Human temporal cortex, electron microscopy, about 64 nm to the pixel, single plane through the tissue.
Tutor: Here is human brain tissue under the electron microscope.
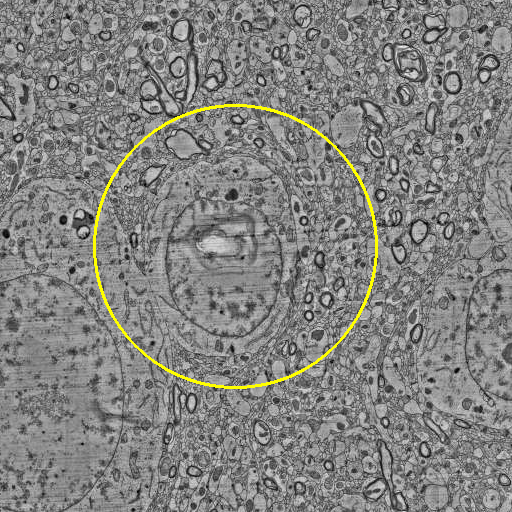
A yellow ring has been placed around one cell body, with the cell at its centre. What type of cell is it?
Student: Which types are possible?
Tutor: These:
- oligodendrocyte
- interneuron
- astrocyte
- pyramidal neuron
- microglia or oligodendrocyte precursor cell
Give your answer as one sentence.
What the ring picks out here is a pyramidal neuron.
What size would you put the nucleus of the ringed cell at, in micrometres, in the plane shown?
In this plane, the nucleus of the cell at the centre of the ring measures about 9 by 7 micrometres.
